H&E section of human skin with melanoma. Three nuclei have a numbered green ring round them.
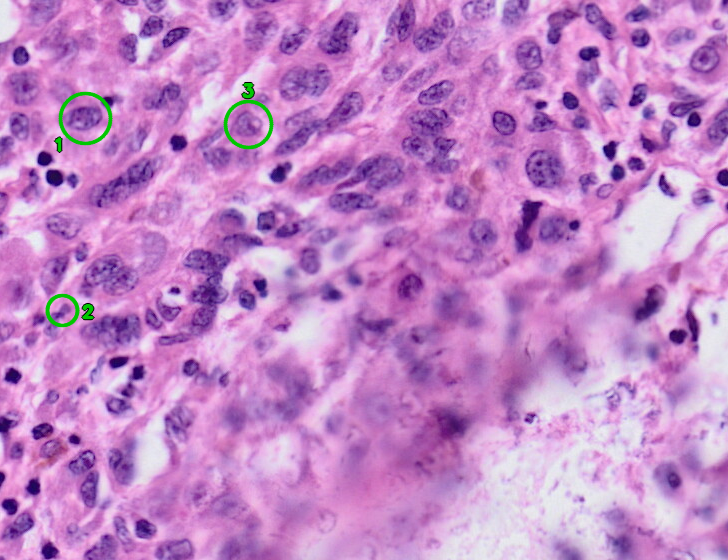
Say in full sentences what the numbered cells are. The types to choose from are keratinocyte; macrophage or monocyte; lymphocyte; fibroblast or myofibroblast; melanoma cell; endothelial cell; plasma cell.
Cells 1 and 3 are melanoma cells. Cell 2 is a macrophage or monocyte.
